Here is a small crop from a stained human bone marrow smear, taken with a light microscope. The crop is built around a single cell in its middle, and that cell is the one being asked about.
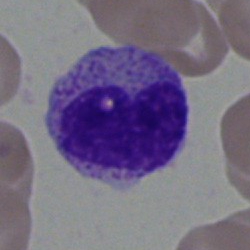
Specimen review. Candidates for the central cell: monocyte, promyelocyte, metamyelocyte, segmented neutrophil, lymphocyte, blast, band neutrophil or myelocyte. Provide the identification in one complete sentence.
Within this crop, a metamyelocyte occupies the central position.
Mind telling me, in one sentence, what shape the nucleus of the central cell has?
Round, oval or kidney-shaped, the nucleus is one compact mass.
